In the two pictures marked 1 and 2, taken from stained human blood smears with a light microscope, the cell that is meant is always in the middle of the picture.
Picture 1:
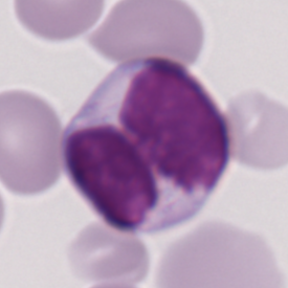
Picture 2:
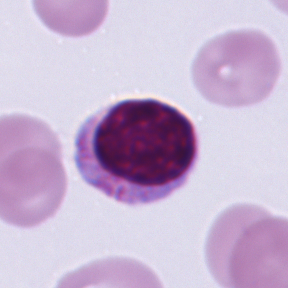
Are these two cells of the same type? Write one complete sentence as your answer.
Yes, the two pictures both show large granular lymphocytes.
